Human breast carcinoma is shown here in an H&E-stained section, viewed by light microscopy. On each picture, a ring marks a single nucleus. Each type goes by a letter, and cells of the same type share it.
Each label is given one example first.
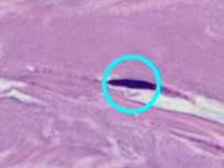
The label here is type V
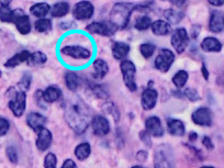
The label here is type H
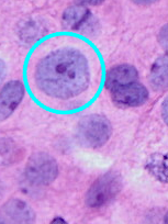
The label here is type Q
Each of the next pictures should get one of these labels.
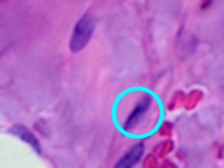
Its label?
type V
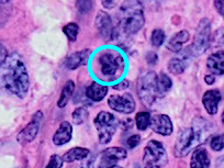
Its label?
type H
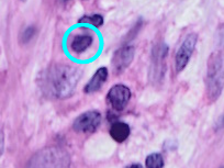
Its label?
type H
